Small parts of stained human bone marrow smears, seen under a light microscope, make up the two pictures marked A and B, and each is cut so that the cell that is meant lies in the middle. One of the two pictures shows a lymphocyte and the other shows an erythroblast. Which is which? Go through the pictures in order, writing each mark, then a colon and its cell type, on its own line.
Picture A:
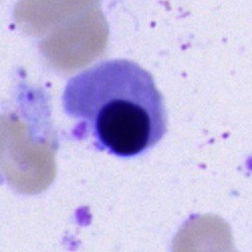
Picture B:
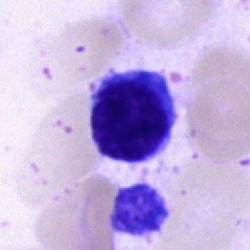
A: erythroblast
B: lymphocyte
